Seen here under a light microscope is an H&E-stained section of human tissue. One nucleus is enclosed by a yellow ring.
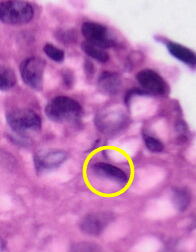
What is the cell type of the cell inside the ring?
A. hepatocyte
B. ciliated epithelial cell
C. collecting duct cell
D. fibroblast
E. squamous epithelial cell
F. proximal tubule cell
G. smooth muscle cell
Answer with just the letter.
E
